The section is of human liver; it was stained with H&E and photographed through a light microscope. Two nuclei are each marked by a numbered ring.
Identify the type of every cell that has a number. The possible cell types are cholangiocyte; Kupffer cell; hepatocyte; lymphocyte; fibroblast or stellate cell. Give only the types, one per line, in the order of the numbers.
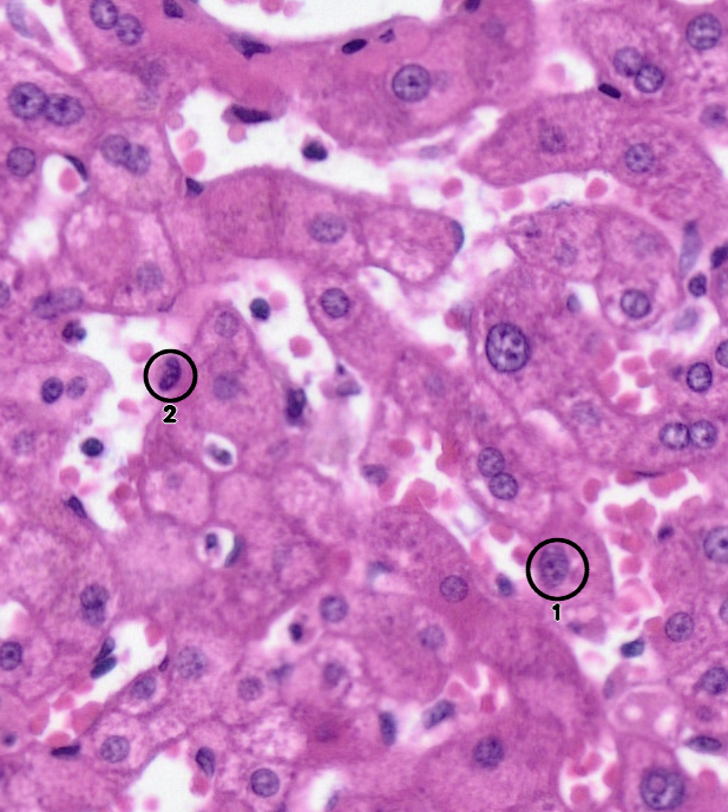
hepatocyte
Kupffer cell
